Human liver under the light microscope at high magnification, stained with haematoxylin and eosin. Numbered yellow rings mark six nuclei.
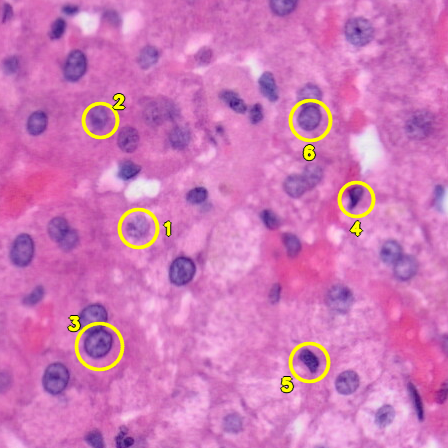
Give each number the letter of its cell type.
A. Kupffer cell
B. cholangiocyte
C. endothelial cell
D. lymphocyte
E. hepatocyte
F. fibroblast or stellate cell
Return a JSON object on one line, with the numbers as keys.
{"1": "E", "2": "E", "3": "E", "4": "C", "5": "F", "6": "E"}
